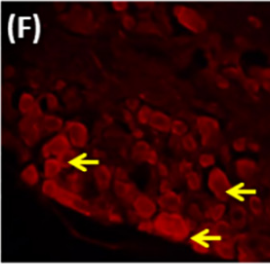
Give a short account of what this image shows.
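Numerous large round cell bodies of different sizes are clustered together across the field, several outlined by a bright red rim or evenly filled with red. Between the clusters lie dimmer strands of tissue, and the lower edge shows a bright band along the border of the mass. Some cell bodies appear as rings with a paler interior, while a few are solidly bright.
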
